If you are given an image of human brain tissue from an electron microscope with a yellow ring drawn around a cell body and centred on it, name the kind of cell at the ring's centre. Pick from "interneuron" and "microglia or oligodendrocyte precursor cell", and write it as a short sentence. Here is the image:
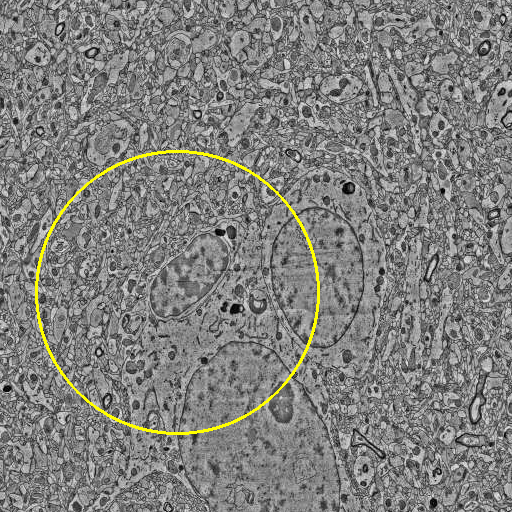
The cell at the ring's centre is a microglial cell or oligodendrocyte precursor cell.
